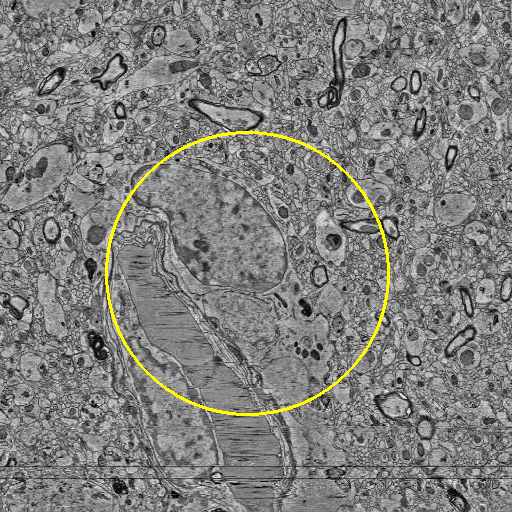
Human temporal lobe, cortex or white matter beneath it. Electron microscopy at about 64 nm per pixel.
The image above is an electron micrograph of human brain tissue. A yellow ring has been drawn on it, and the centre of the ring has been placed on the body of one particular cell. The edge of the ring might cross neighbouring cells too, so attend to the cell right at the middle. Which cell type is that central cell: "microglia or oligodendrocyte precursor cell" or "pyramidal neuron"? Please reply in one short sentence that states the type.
The central cell in the ring is a microglial cell or oligodendrocyte precursor cell.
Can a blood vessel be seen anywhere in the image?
Yes.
